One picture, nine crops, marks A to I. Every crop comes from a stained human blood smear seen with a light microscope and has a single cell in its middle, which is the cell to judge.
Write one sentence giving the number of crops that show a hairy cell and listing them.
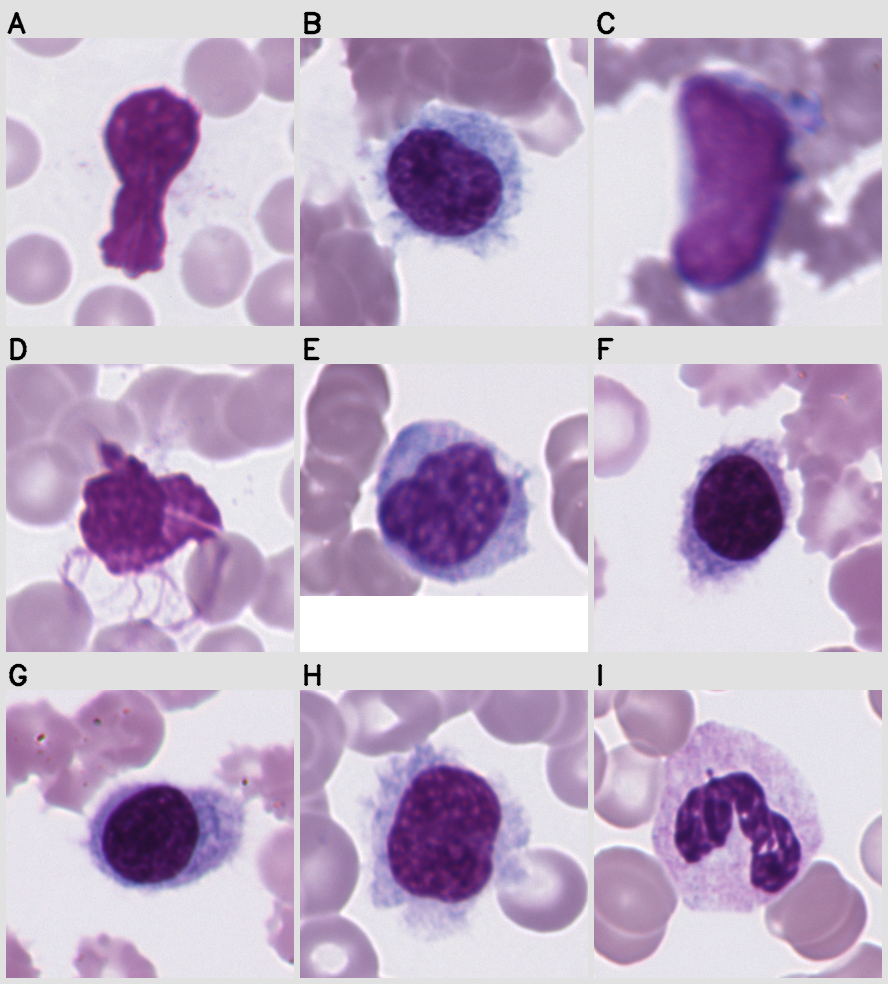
The four crops B, F, G and H are those that show hairy cells.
